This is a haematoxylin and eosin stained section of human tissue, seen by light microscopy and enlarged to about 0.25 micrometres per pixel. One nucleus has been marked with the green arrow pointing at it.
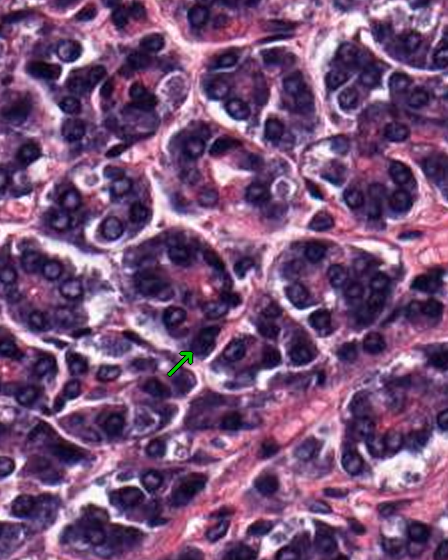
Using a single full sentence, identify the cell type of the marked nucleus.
In this image, the nucleus that is marked belongs to a pancreatic acinar cell.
